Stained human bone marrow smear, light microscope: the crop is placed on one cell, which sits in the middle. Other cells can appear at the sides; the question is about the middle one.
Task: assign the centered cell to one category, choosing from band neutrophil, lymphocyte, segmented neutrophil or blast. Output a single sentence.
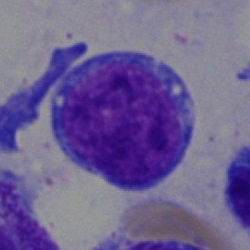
Within this crop, a lymphocyte occupies the central position.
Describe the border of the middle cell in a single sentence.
There are no projections here; the outline is simply smooth.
